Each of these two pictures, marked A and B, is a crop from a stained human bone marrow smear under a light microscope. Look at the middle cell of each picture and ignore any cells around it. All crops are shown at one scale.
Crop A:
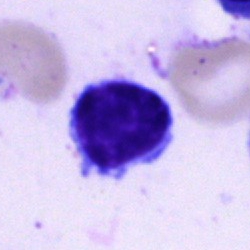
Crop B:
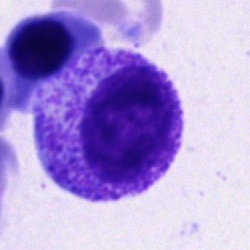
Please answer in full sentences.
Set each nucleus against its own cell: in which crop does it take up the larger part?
It is the cell in crop A that is filled more by its nucleus.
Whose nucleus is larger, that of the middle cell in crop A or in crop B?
The nucleus in crop B is larger, with about 1.5 times the area of the one in crop A.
